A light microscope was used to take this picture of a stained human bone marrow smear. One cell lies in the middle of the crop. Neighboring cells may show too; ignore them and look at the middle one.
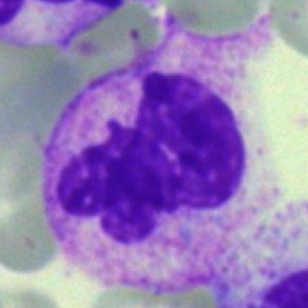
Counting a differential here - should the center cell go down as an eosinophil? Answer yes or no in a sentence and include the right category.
No, it is a segmented neutrophil and not an eosinophil that occupies the middle of the crop.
